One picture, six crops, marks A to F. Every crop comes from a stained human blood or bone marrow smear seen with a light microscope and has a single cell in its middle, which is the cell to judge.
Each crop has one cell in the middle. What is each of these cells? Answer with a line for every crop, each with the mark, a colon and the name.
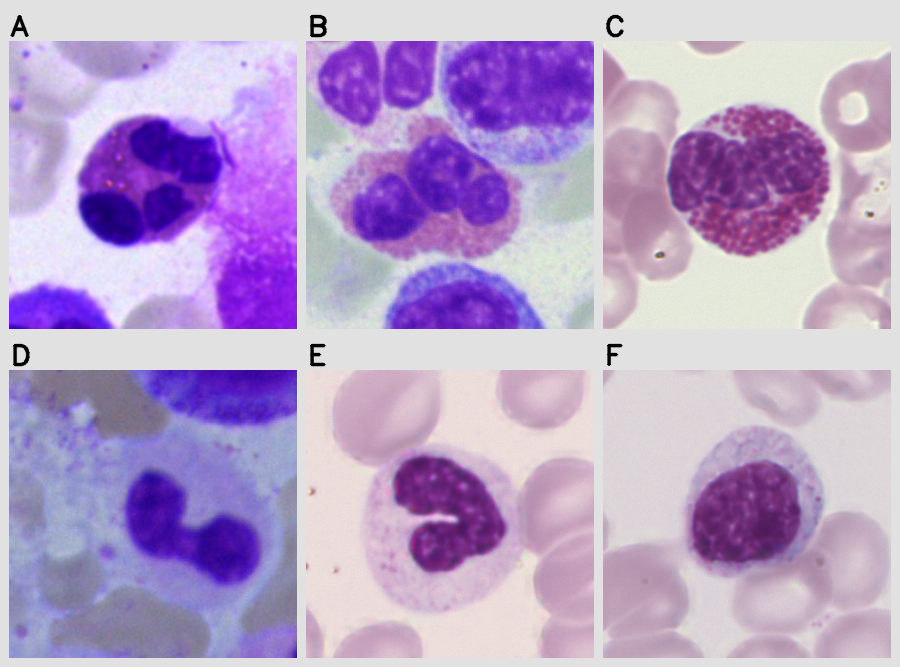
A: eosinophil
B: eosinophil
C: eosinophil
D: band neutrophil
E: band neutrophil
F: metamyelocyte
